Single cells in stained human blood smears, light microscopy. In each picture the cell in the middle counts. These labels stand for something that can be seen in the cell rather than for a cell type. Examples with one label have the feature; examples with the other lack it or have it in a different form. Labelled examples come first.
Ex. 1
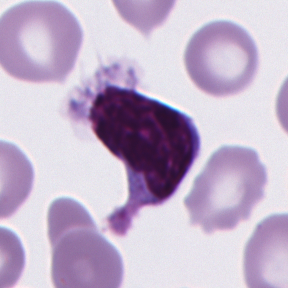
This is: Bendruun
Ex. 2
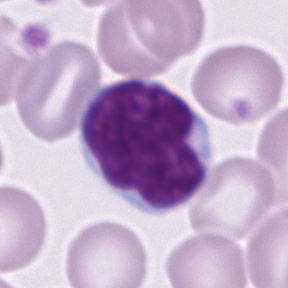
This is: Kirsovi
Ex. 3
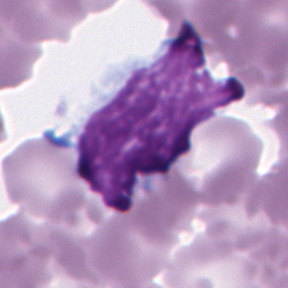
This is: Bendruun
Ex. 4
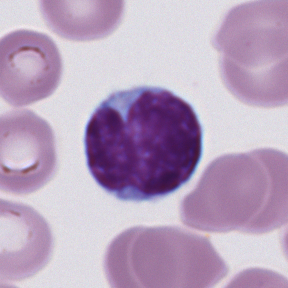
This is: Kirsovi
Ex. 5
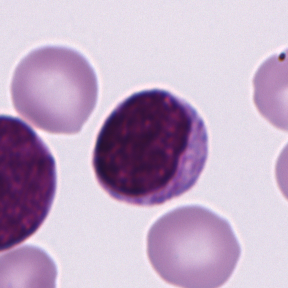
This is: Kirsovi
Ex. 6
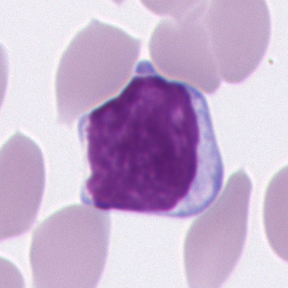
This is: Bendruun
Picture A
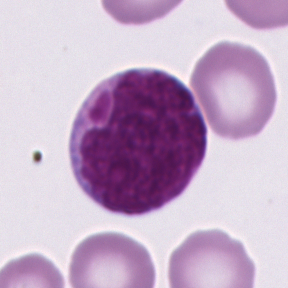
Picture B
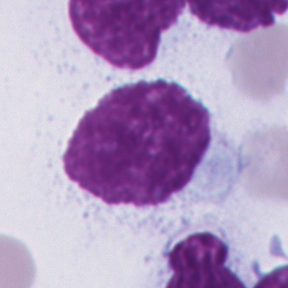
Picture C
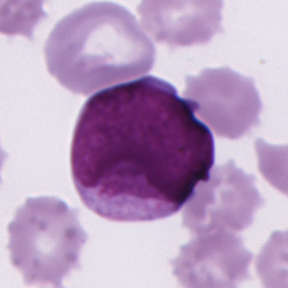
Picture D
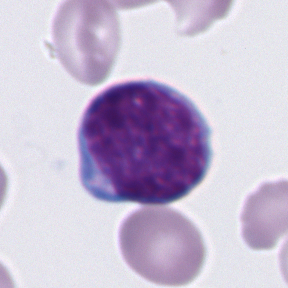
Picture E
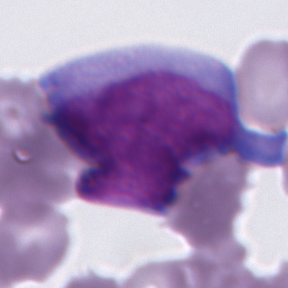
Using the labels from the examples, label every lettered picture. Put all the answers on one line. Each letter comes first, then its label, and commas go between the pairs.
A Kirsovi, B Bendruun, C Bendruun, D Kirsovi, E Bendruun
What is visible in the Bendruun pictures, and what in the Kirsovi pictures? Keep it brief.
Seen in Bendruun: ragged outline or projections; seen in Kirsovi: smooth outline.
